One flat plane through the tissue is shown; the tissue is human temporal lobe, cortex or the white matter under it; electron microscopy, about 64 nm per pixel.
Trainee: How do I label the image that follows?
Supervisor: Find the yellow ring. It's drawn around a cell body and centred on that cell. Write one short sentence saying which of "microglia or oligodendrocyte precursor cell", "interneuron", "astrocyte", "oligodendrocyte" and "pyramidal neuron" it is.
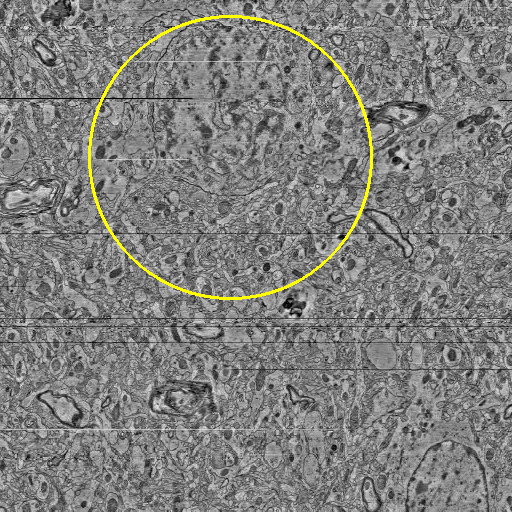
This is the cell body of an interneuron.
